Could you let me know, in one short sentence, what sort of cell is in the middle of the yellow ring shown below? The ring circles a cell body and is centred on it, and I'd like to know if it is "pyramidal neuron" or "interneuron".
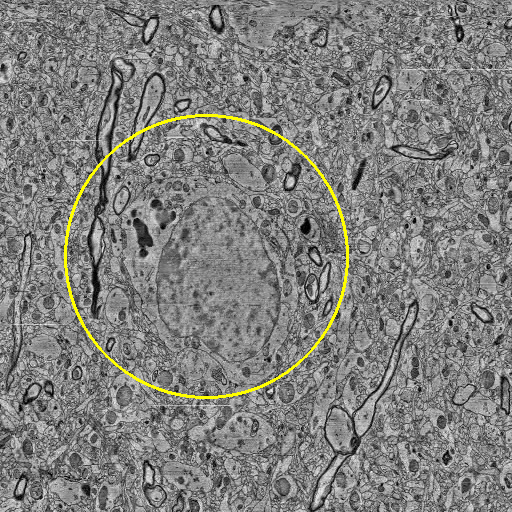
The ring circles the cell body of an interneuron.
